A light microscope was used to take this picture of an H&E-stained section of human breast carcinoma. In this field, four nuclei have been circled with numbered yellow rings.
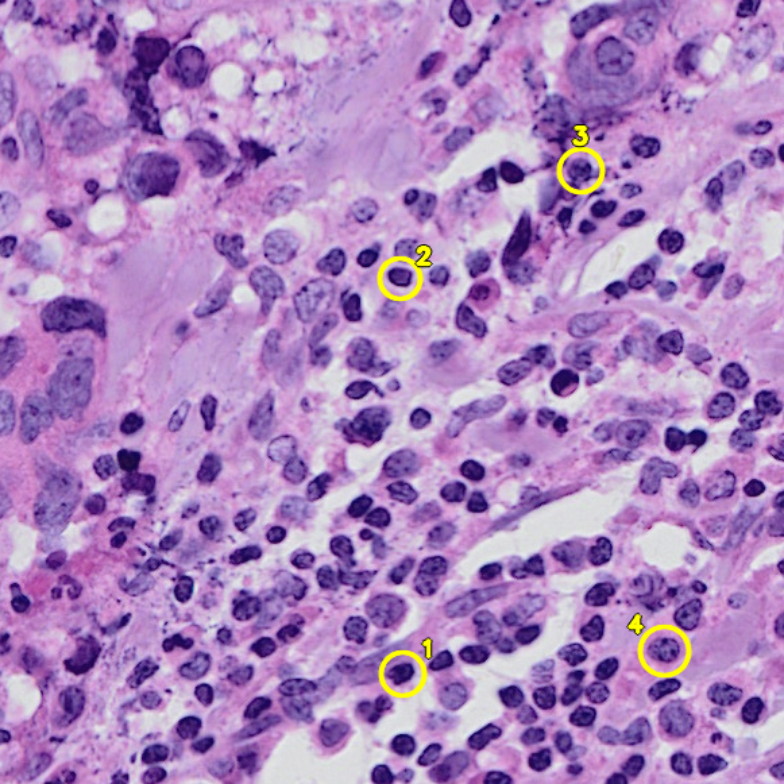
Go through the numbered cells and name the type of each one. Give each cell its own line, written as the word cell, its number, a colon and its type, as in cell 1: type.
cell 1: lymphocyte
cell 2: lymphocyte
cell 3: lymphocyte
cell 4: mast cell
